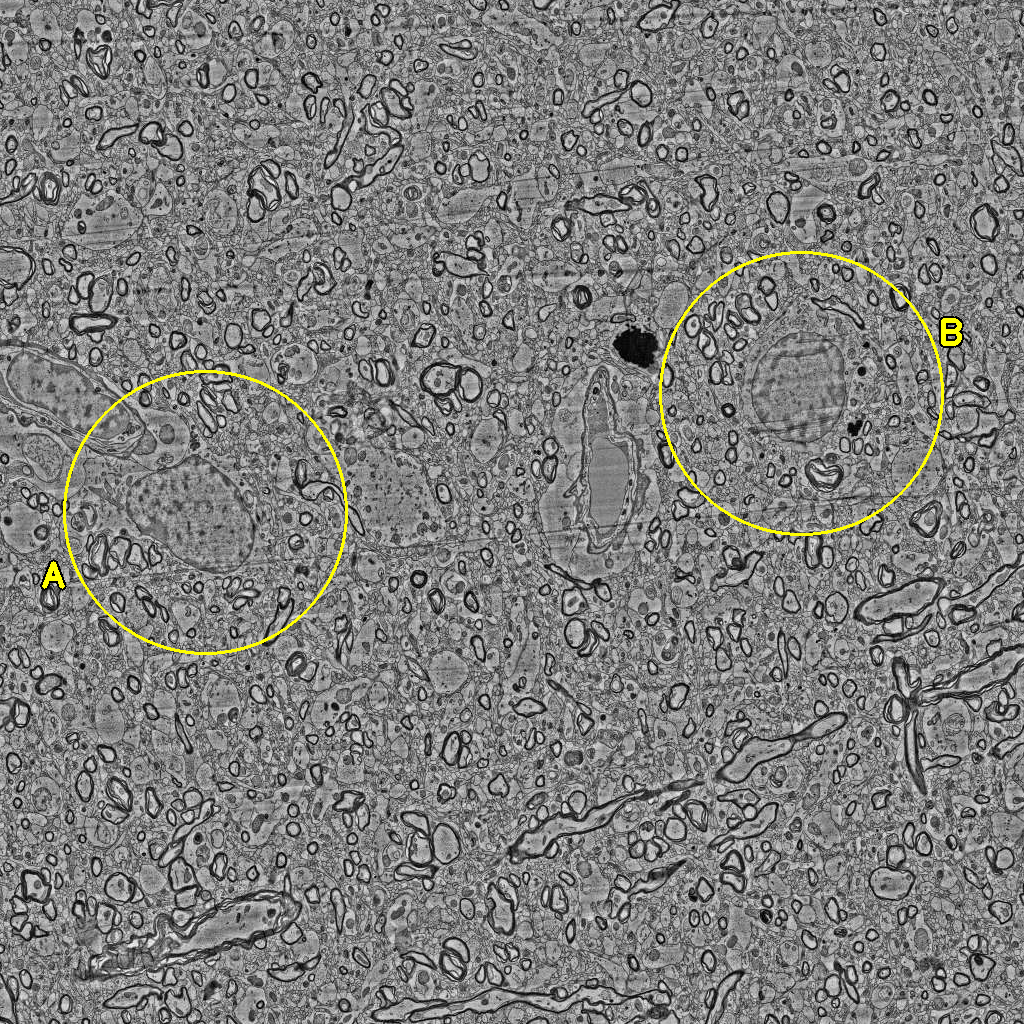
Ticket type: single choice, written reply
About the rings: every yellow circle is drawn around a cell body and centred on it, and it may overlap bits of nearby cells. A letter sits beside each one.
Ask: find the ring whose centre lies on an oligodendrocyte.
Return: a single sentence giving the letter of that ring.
At the centre of the ring marked B lies the cell asked for.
